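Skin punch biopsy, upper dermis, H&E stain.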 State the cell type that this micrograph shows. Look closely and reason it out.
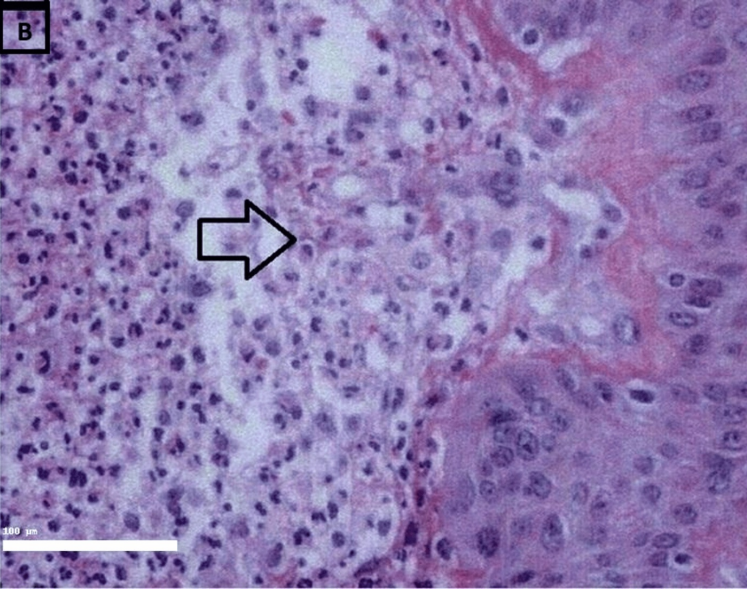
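The left half is crowded with small cells that have dark, compact, irregular or lobed nuclei. These cells are much smaller than the epidermal cells at the right, which have large oval pale nuclei. On this evidence: neutrophils.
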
